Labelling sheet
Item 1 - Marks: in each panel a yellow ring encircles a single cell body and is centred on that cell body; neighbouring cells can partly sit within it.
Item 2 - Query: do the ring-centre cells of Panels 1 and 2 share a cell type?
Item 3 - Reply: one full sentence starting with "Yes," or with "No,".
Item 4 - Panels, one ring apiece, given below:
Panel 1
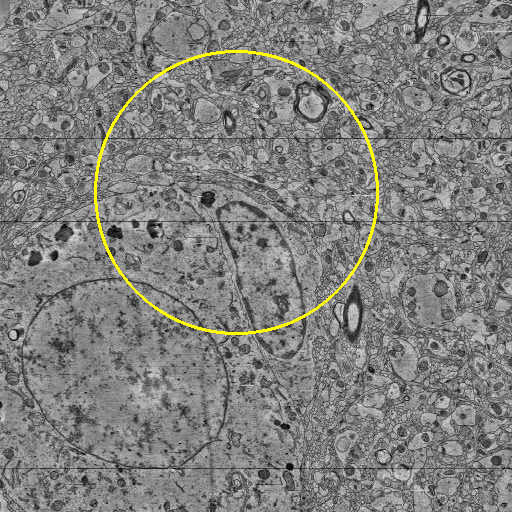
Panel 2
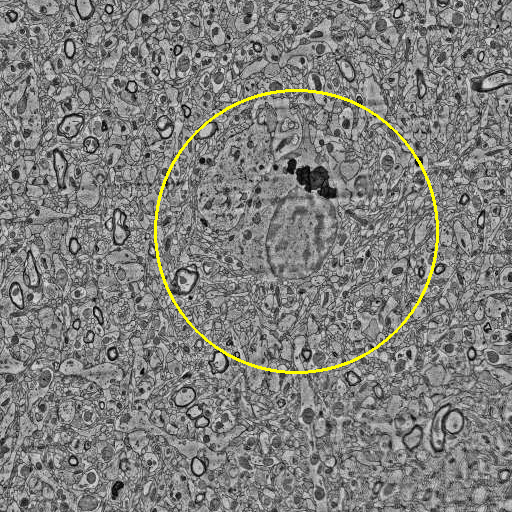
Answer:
No, Panel 1 and Panel 2 show two cell types at the centres of their rings.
